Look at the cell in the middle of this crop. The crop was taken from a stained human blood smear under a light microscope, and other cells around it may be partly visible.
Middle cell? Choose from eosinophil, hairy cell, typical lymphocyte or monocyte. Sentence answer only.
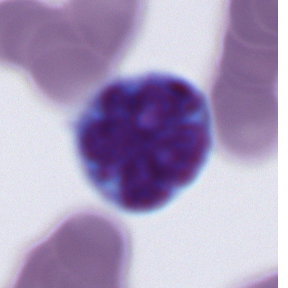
In the centre of this crop there is a typical lymphocyte.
